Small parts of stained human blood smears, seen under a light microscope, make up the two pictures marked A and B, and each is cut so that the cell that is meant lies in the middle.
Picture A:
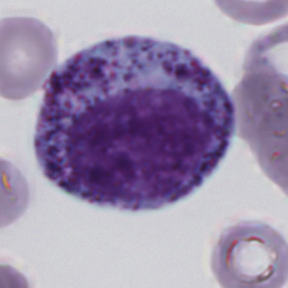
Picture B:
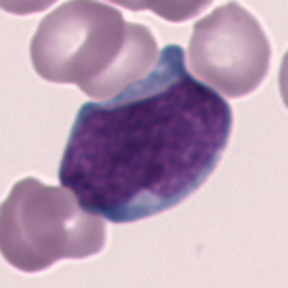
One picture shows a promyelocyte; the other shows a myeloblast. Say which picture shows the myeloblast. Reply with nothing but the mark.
B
